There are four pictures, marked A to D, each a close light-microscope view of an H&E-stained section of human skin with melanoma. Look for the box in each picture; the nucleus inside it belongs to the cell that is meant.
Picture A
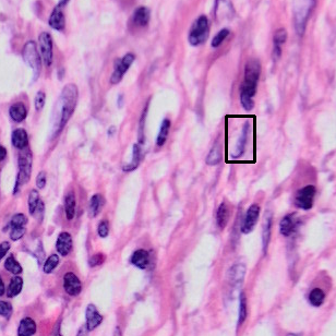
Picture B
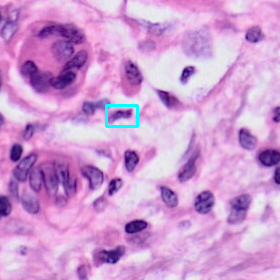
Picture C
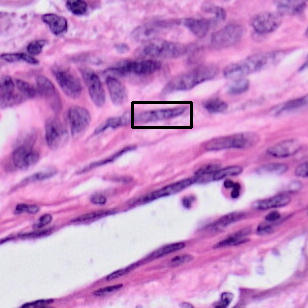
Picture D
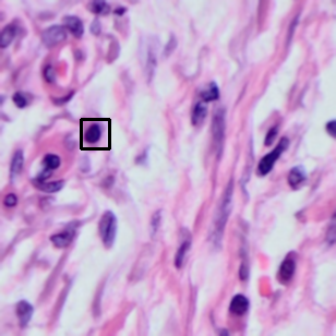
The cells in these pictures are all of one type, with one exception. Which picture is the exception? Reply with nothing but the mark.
D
